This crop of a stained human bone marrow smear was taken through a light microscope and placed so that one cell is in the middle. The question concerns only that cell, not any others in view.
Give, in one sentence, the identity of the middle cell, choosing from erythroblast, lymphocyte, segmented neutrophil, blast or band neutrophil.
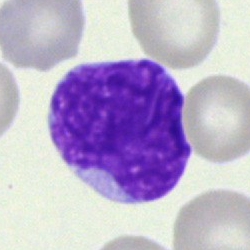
This crop has a blast at its centre.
